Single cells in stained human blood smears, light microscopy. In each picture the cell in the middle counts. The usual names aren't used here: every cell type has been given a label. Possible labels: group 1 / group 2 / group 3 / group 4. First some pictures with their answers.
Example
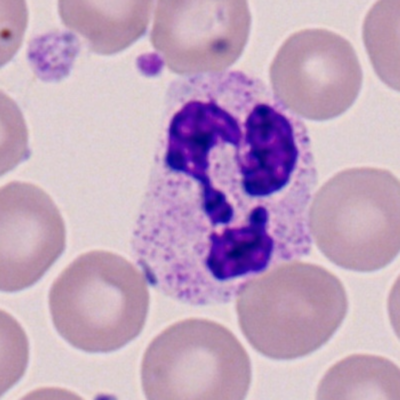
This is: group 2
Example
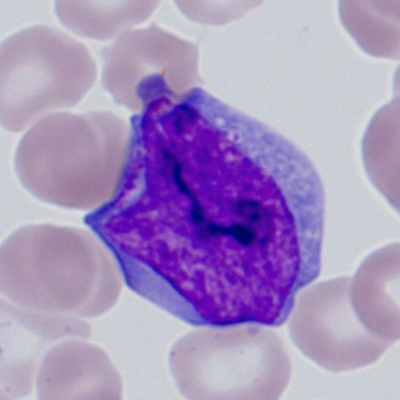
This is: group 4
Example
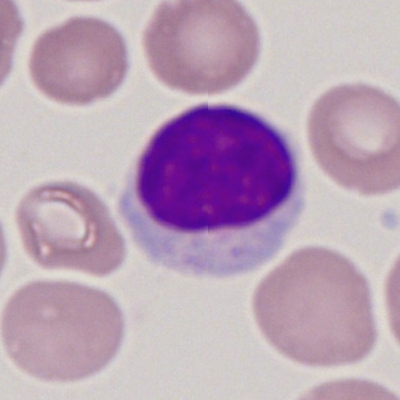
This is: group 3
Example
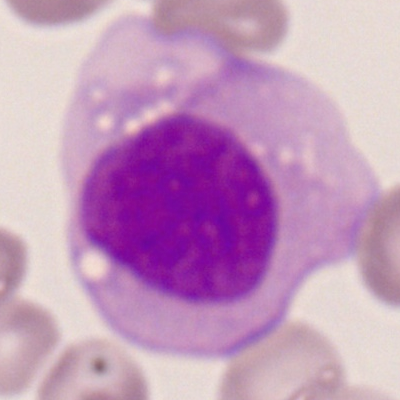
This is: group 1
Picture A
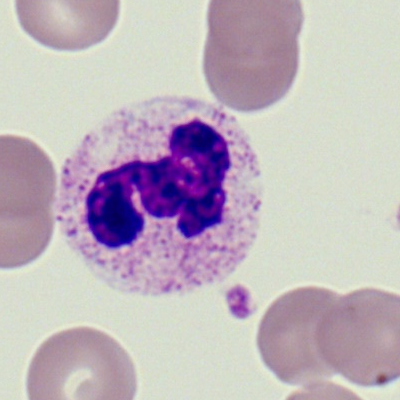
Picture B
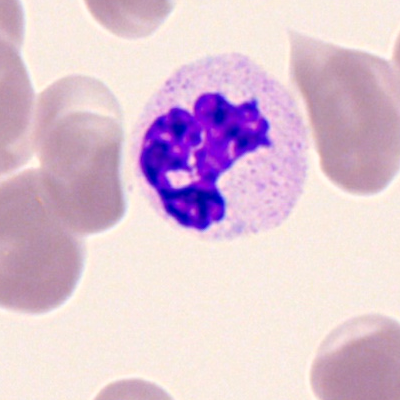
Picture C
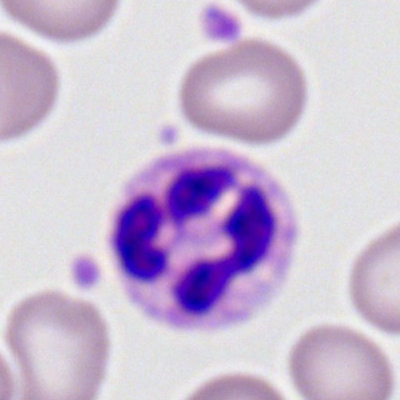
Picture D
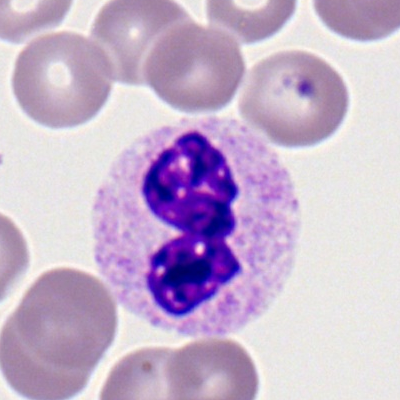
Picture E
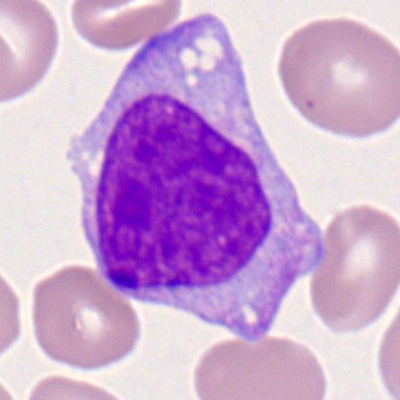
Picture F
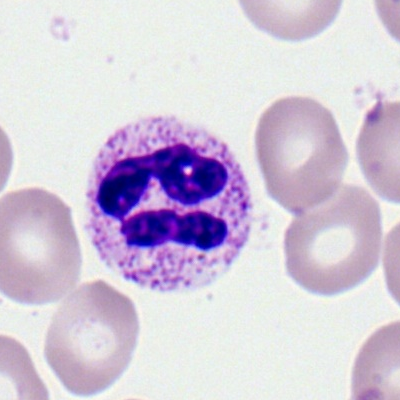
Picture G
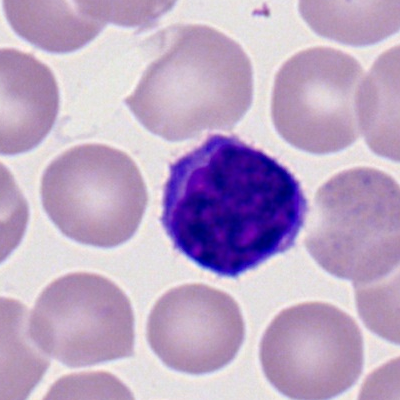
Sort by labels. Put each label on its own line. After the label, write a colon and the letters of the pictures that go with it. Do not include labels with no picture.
group 1: E
group 2: A, B, C, D, F
group 3: G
